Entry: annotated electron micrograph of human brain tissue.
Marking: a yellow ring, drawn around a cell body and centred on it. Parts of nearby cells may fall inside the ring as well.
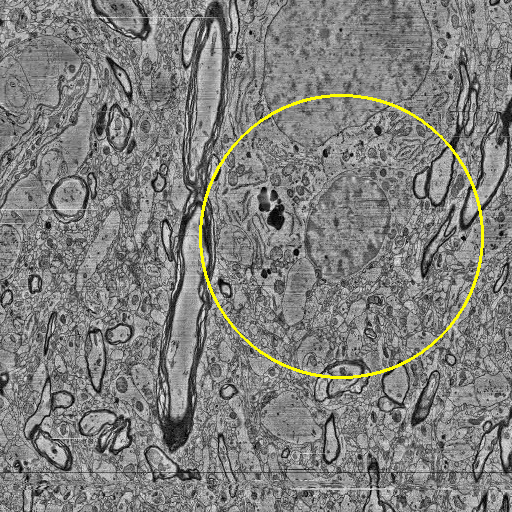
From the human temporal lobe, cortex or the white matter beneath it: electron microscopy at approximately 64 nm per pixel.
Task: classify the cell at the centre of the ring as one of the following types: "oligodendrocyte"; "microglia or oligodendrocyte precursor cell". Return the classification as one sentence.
The marked cell is classified as an oligodendrocyte.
